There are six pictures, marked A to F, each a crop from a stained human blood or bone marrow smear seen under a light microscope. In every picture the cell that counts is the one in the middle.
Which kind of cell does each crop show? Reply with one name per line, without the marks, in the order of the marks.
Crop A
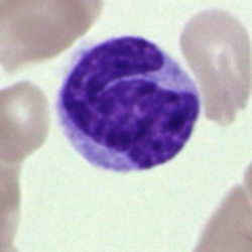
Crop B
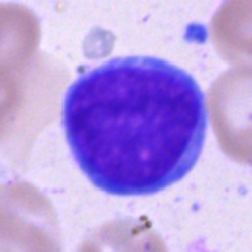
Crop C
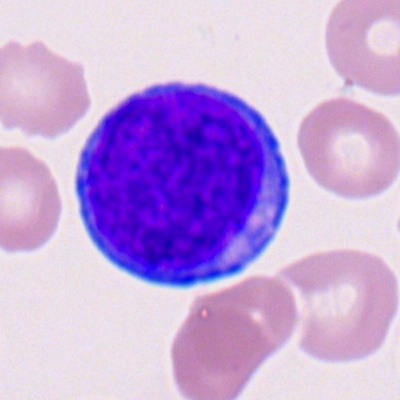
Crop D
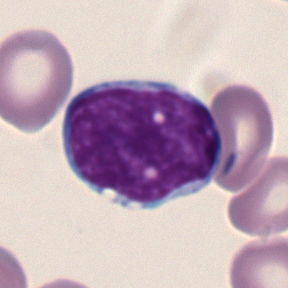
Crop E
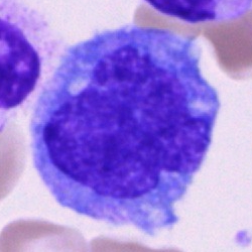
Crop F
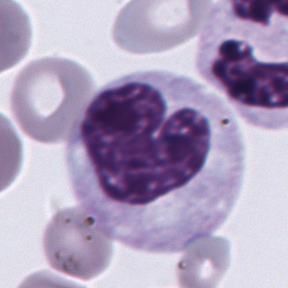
monocyte
blast
blast
blast
monocyte
band neutrophil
